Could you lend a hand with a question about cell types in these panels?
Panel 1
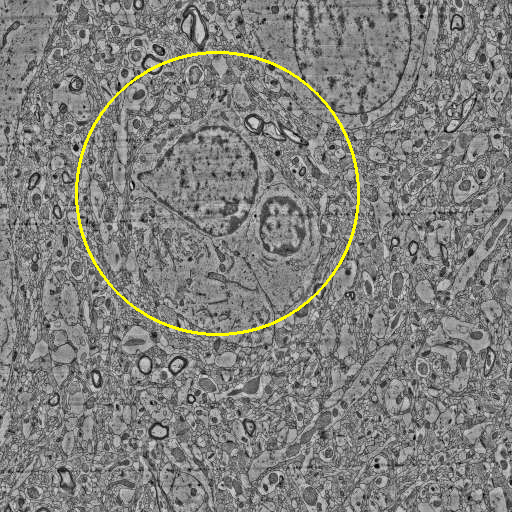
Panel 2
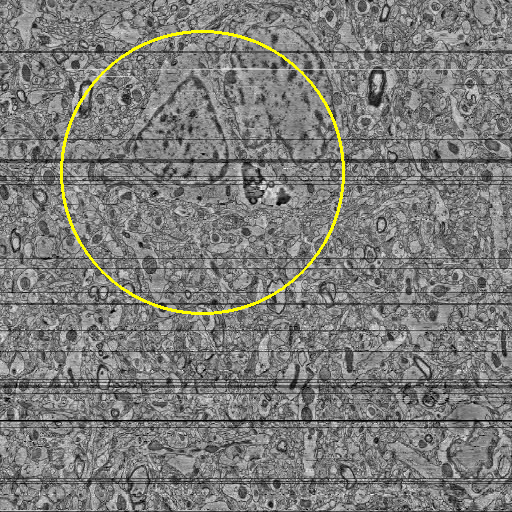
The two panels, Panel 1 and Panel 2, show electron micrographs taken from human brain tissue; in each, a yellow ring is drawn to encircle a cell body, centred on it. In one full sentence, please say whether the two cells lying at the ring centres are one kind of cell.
Yes, the cells at the ring centres in the two panels are one kind of cell.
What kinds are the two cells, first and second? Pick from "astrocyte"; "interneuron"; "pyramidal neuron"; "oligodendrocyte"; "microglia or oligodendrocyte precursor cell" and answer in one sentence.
Both rings mark a microglial cell or oligodendrocyte precursor cell, one in each picture.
